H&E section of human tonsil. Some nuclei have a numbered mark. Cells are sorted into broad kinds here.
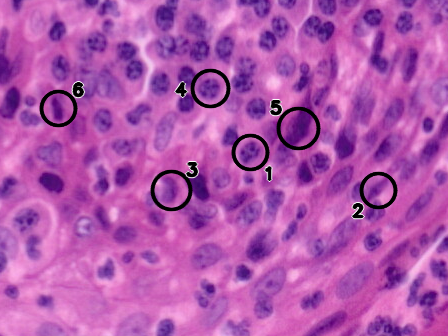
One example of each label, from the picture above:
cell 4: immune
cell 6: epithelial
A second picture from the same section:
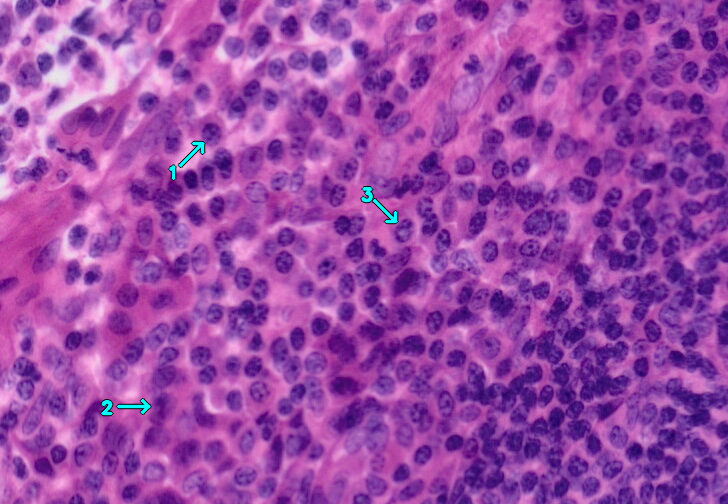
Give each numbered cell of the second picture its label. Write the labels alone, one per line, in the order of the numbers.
immune
epithelial
immune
